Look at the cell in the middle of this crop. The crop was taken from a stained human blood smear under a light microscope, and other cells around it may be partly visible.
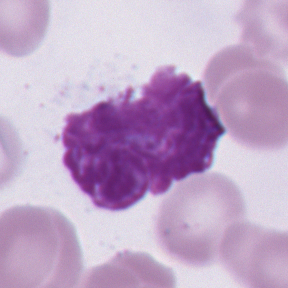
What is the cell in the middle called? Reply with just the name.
smudge cell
